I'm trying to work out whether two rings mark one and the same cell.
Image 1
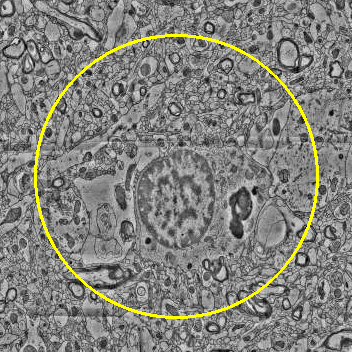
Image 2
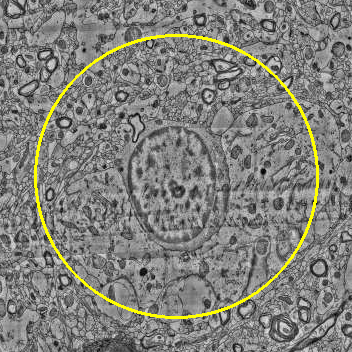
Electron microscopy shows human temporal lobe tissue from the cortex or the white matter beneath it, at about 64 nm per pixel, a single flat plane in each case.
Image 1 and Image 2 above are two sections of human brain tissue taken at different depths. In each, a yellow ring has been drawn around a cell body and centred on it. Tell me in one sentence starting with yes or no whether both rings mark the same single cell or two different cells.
Yes, the two rings belong to one cell, not to two.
